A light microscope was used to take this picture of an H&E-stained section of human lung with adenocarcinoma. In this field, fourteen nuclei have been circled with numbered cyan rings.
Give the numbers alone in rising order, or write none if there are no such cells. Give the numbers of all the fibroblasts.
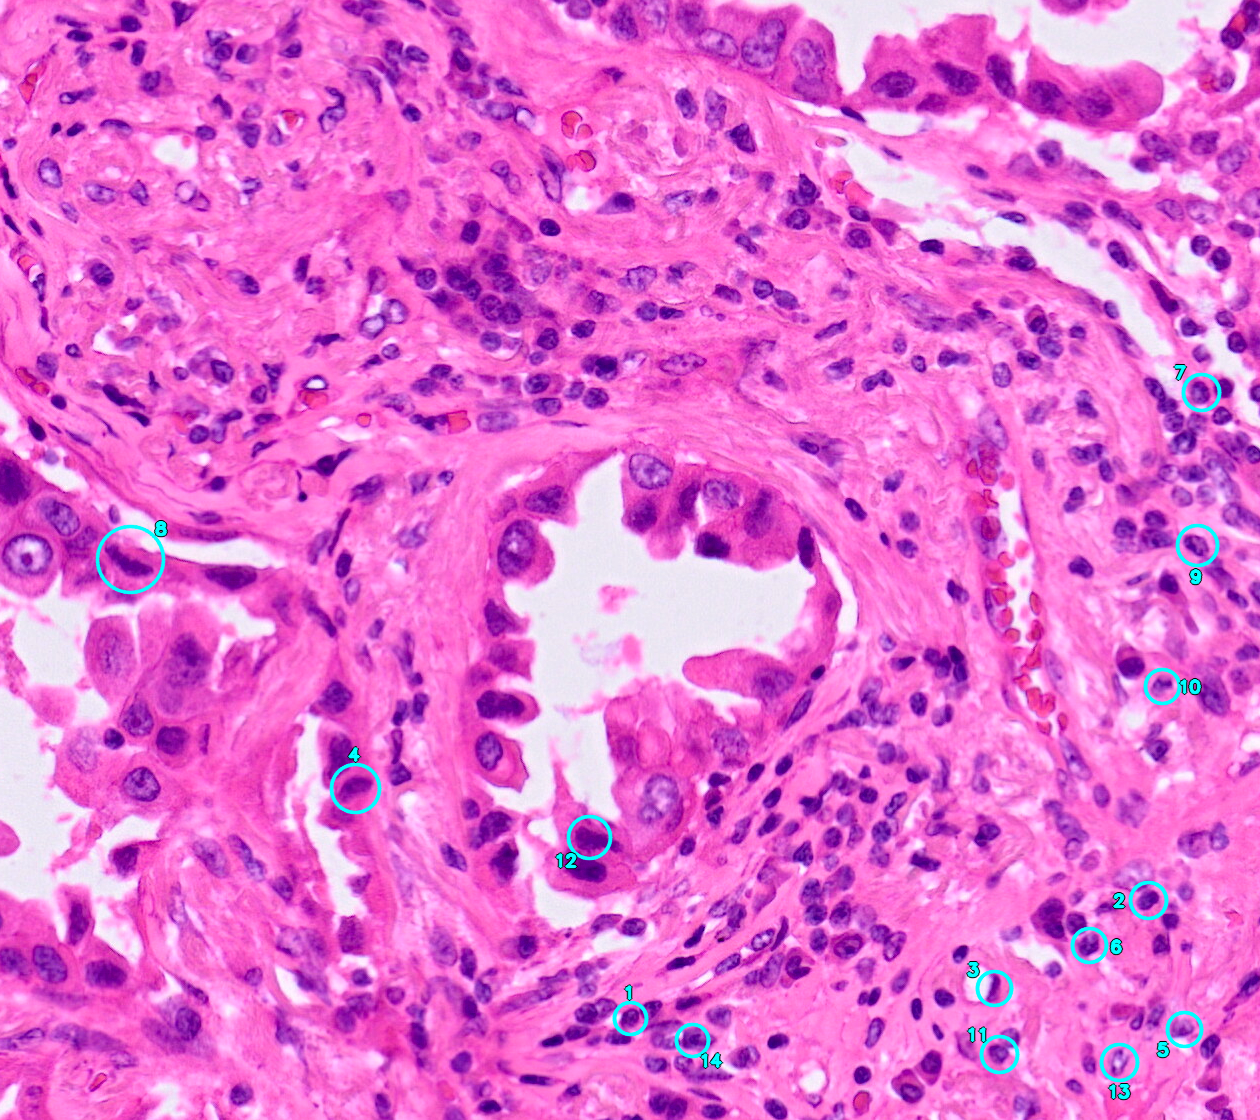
5, 13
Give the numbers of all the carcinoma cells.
4, 8, 12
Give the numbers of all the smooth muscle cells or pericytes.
none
